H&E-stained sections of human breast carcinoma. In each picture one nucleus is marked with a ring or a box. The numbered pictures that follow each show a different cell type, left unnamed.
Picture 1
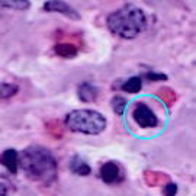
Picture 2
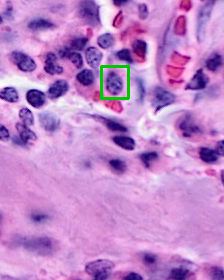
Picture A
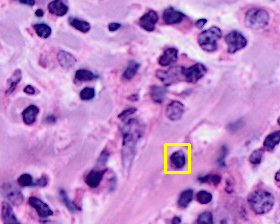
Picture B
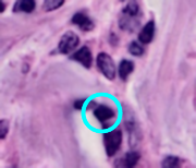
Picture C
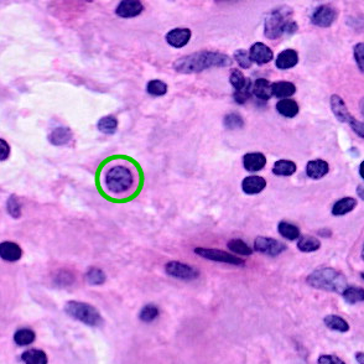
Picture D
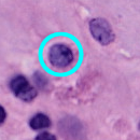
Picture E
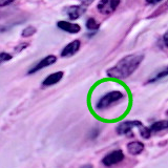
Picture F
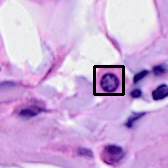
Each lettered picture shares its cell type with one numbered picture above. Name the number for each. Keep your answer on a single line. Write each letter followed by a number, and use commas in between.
A 1, B 1, C 2, D 2, E 1, F 2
